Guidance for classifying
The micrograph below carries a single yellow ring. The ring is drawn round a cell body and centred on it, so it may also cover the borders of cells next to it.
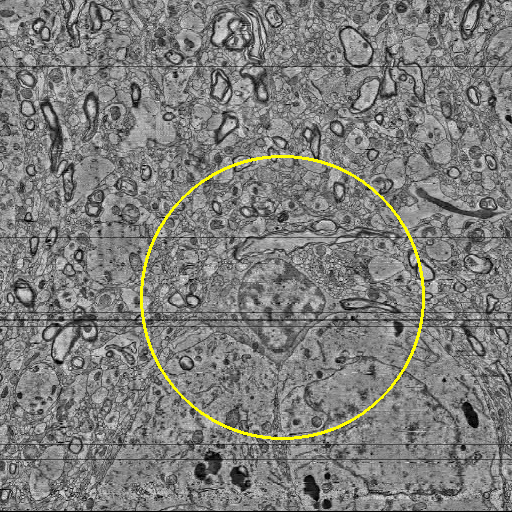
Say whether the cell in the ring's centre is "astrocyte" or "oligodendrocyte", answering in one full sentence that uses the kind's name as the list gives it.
Within the yellow ring, an oligodendrocyte is the cell whose body sits at the centre.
